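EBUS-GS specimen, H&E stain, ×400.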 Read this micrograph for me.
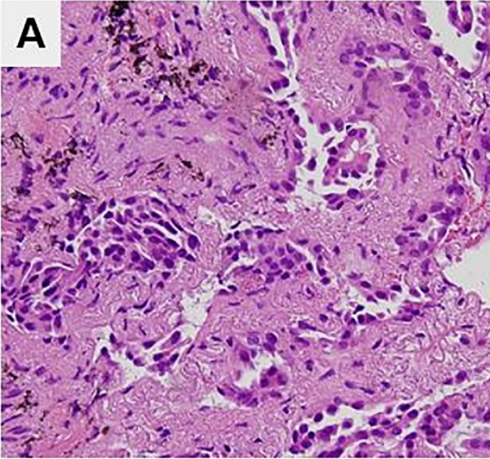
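A few adenocarcinoma cells form small clusters and gland-like rings within abundant pink fibrous stroma. Their nuclei are enlarged, dark purple and crowded compared with the scattered slender stromal nuclei. Black granular pigment lies in the stroma at the upper left. Much of the field is stroma rather than tumour.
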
